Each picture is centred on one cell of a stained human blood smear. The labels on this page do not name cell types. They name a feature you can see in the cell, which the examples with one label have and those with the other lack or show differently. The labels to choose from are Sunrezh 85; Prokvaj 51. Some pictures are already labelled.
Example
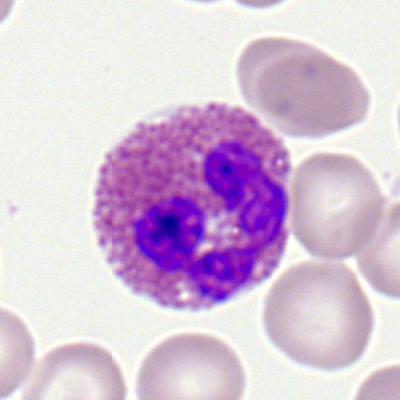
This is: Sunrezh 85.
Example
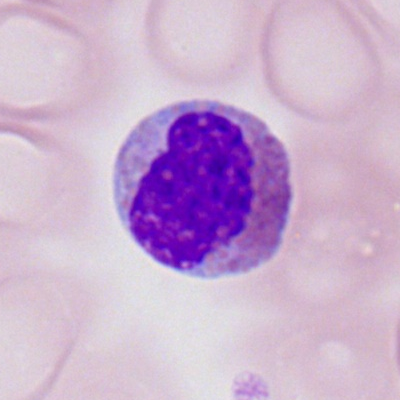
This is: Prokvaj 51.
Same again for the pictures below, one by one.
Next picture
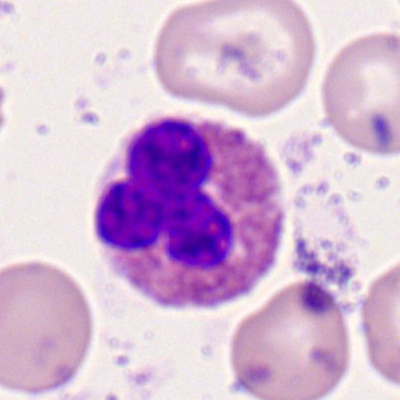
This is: Prokvaj 51.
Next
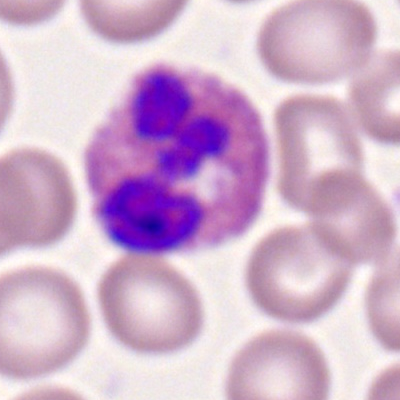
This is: Prokvaj 51.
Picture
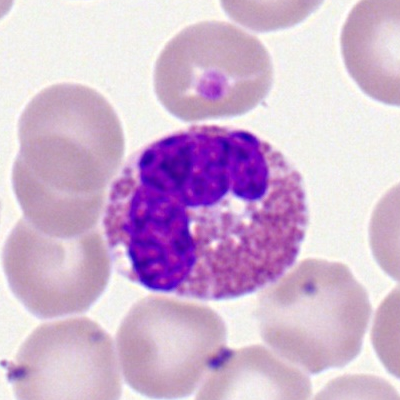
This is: Sunrezh 85.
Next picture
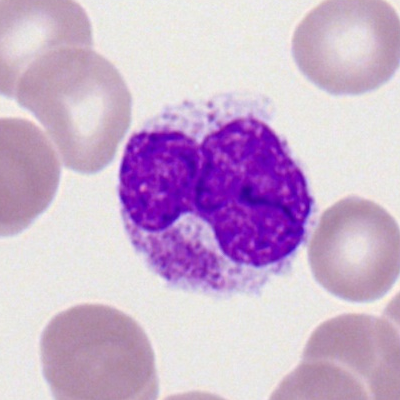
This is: Prokvaj 51.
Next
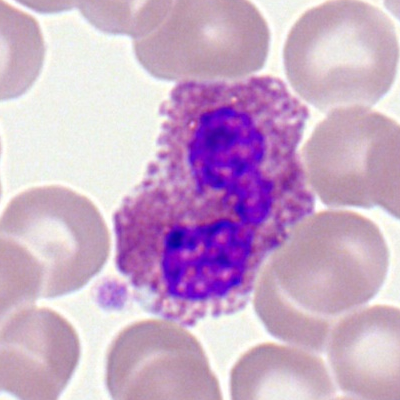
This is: Sunrezh 85.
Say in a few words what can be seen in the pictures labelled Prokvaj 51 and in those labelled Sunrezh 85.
In Prokvaj 51: fine or small granules. In Sunrezh 85: coarse or large granules.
